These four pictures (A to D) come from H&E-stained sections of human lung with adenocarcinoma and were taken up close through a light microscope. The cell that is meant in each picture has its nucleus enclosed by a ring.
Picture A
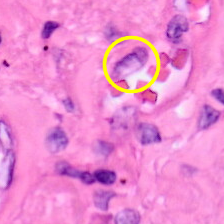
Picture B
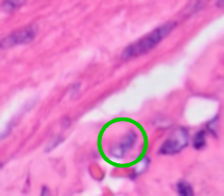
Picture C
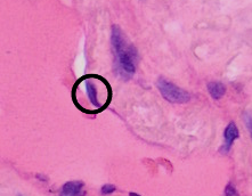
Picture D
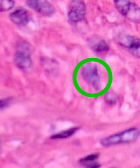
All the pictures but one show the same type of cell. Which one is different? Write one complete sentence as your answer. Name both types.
The different one is picture D; it shows a “smooth muscle cell or pericyte”, whereas all the others show endothelial cells.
